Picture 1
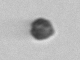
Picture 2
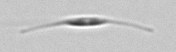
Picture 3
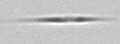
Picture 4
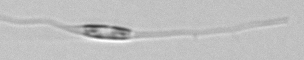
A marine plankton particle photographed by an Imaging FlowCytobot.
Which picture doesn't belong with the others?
Picture 1.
